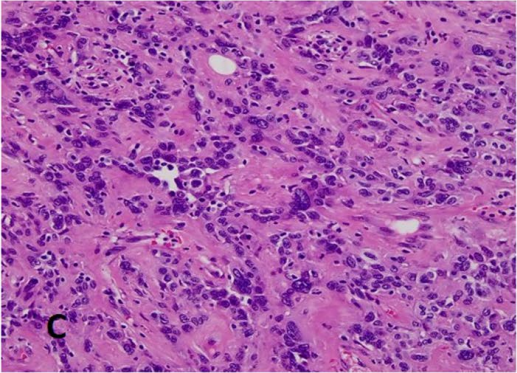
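Epithelioid tumor cells lie in irregular cords and clusters separated by bands of pink collagenous stroma. The cells are polygonal with round to oval nuclei, and scattered among them are enlarged, dark, irregularly shaped nuclei much bigger than those around them. A few small vessels lie within the stroma.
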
